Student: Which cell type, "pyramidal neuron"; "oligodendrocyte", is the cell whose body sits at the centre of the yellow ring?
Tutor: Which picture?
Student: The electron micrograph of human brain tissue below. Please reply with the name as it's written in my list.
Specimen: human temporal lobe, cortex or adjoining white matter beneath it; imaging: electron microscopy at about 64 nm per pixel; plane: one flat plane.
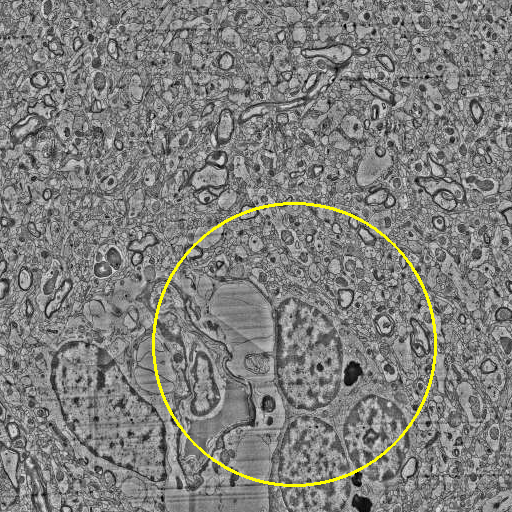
oligodendrocyte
